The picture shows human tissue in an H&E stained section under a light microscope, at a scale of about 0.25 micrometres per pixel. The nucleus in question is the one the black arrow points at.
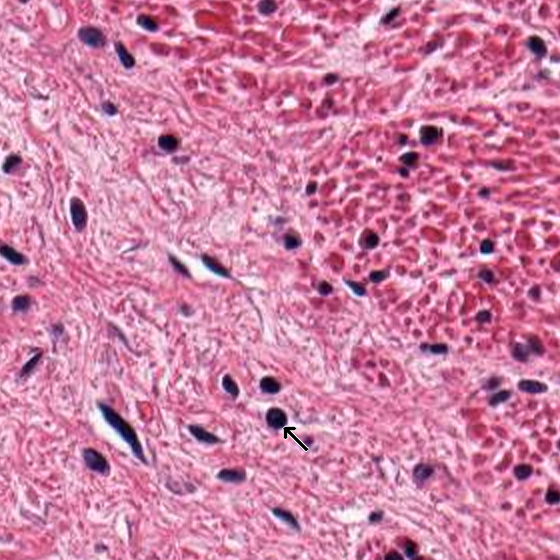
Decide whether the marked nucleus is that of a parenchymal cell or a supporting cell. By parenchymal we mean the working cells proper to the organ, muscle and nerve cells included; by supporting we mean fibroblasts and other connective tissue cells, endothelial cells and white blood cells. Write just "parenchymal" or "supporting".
supporting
